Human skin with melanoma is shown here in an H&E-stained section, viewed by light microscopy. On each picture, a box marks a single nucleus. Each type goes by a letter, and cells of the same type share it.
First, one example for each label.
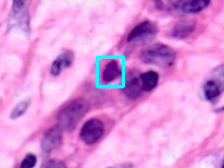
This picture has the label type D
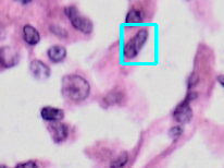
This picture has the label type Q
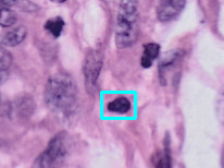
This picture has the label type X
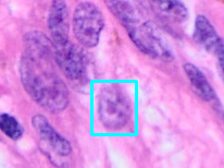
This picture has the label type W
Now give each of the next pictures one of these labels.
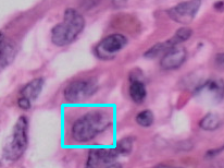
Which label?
type W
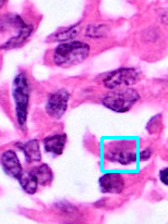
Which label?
type W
